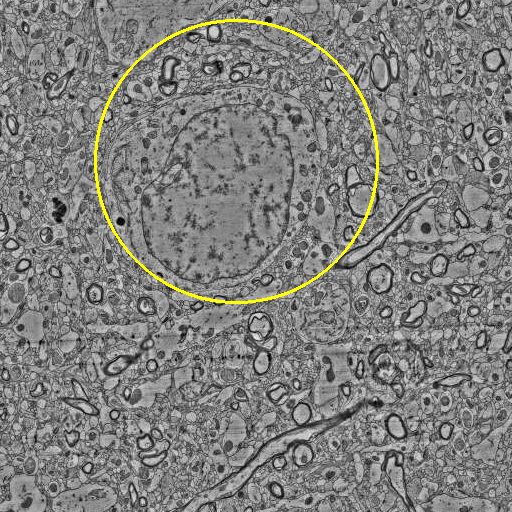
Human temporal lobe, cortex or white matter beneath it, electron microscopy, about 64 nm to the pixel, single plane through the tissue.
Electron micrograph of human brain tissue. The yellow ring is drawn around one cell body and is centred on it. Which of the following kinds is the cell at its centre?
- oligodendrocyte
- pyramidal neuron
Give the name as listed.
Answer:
pyramidal neuron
